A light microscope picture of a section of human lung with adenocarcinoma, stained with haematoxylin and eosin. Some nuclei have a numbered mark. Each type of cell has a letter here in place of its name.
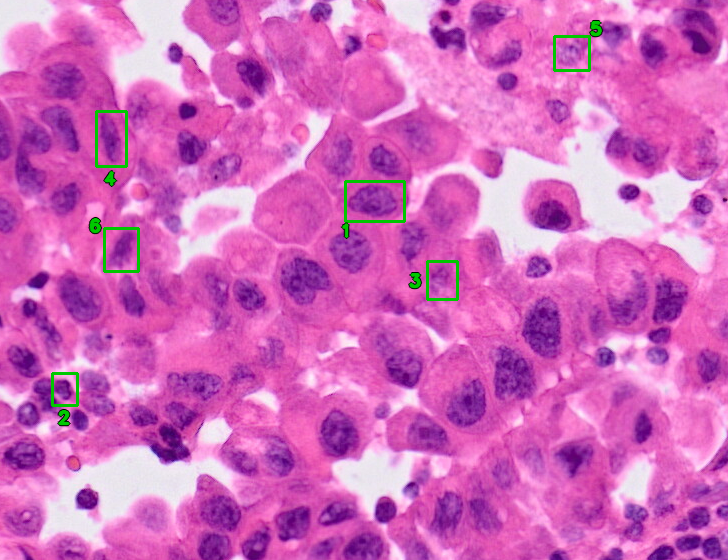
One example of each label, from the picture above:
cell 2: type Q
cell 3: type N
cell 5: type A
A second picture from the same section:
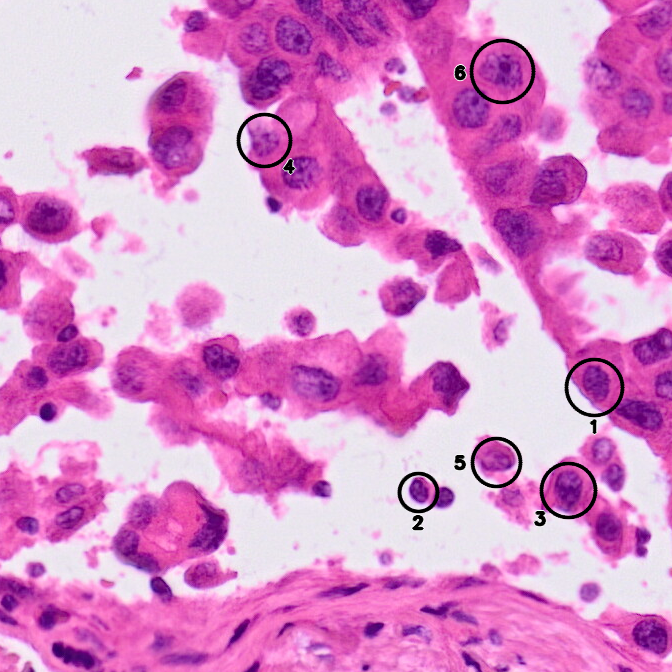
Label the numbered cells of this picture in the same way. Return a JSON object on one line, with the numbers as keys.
{"1": "type N", "2": "type Q", "3": "type N", "4": "type N", "5": "type A", "6": "type N"}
